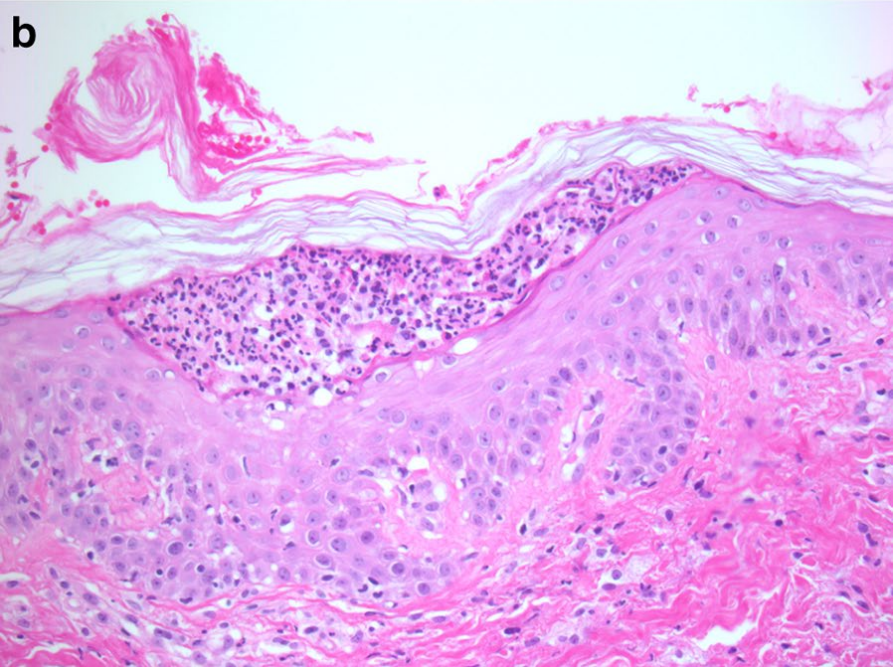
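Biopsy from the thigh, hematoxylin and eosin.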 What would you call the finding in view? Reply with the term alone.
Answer: Subcorneal pustule.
